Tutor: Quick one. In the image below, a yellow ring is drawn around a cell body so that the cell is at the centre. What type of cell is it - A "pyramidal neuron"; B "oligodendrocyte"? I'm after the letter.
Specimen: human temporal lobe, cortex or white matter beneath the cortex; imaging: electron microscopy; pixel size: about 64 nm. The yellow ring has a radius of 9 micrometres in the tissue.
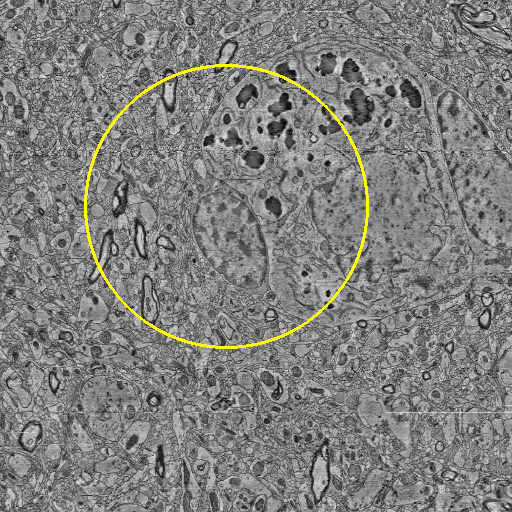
B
